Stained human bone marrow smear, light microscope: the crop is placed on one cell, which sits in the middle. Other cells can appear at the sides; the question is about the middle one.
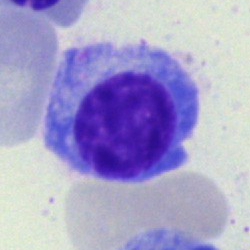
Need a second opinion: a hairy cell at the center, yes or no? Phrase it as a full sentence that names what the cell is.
No, the middle cell is not a hairy cell, it being a plasma cell.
